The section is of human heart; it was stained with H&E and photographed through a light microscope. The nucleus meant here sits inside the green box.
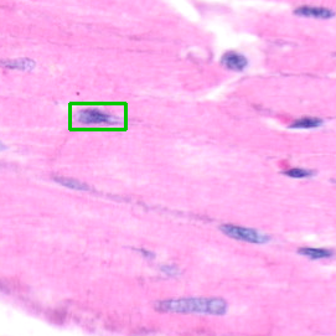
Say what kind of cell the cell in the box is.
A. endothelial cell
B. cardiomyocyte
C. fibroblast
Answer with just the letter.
A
